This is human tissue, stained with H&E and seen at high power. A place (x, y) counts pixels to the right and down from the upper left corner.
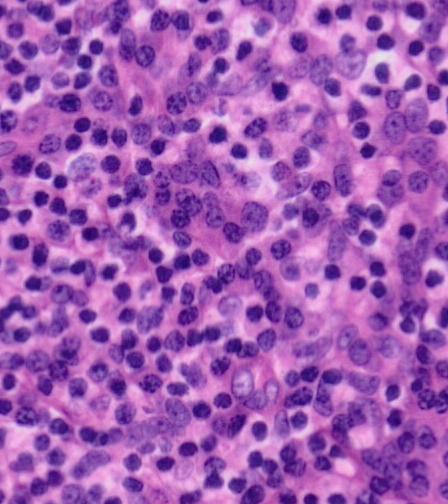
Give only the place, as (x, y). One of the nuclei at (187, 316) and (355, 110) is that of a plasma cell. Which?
(187, 316)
